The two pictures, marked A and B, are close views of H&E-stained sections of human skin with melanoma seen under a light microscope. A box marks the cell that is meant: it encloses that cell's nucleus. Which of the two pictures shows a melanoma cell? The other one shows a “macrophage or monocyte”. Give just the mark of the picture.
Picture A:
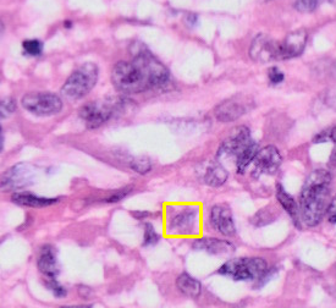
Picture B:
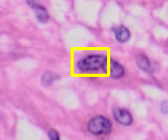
A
